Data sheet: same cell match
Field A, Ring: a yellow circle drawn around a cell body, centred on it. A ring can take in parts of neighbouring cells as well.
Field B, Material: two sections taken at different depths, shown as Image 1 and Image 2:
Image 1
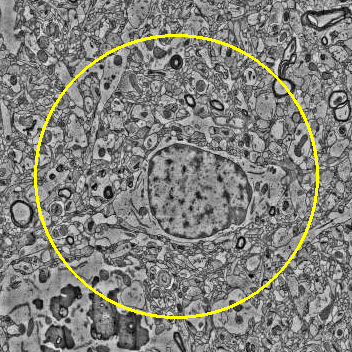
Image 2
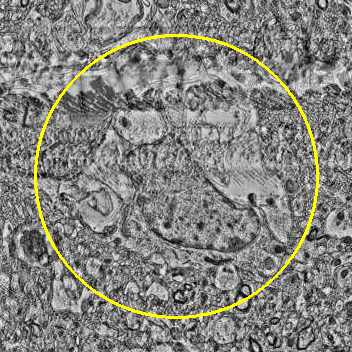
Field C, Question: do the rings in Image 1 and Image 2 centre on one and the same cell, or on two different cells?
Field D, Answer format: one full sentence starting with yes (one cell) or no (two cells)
No, the two rings are not on the same cell.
